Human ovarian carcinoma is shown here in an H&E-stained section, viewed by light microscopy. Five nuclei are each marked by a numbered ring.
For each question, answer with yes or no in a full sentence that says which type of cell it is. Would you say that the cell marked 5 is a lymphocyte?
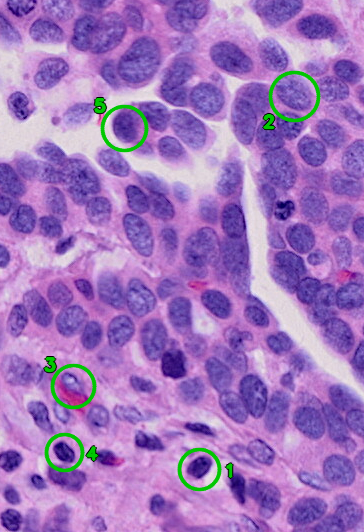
No, a carcinoma cell, not a lymphocyte, is the cell with number 5.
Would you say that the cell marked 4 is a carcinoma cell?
No, calling cell 4 a carcinoma cell is a mistake; it is a lymphocyte.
